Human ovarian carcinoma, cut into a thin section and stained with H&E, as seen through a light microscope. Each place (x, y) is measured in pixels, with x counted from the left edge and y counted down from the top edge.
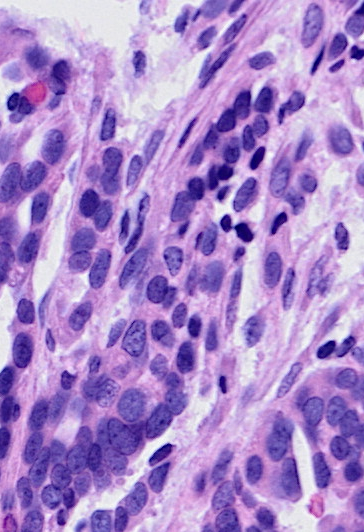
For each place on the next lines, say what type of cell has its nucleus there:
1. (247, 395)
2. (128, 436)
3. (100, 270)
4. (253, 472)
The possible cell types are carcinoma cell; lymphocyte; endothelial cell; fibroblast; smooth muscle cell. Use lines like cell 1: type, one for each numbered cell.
cell 1: fibroblast
cell 2: carcinoma cell
cell 3: carcinoma cell
cell 4: carcinoma cell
